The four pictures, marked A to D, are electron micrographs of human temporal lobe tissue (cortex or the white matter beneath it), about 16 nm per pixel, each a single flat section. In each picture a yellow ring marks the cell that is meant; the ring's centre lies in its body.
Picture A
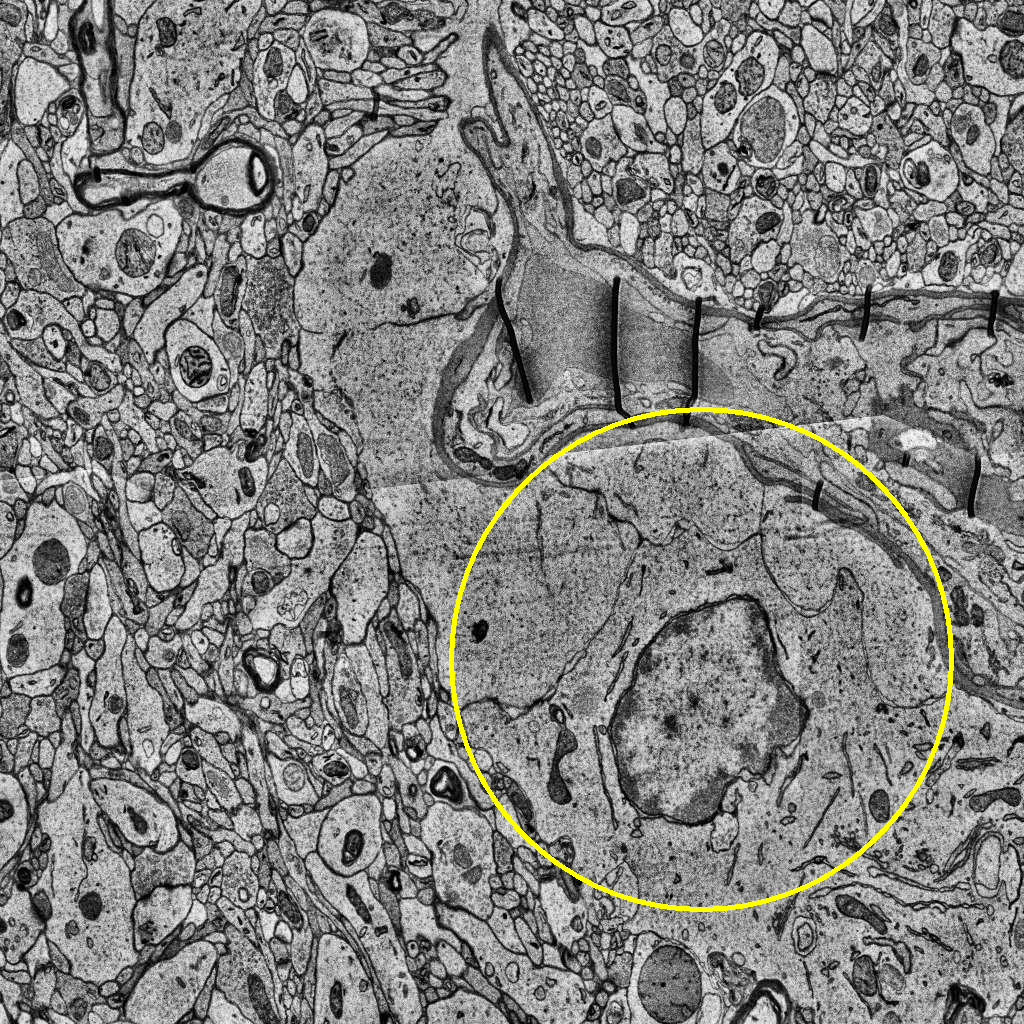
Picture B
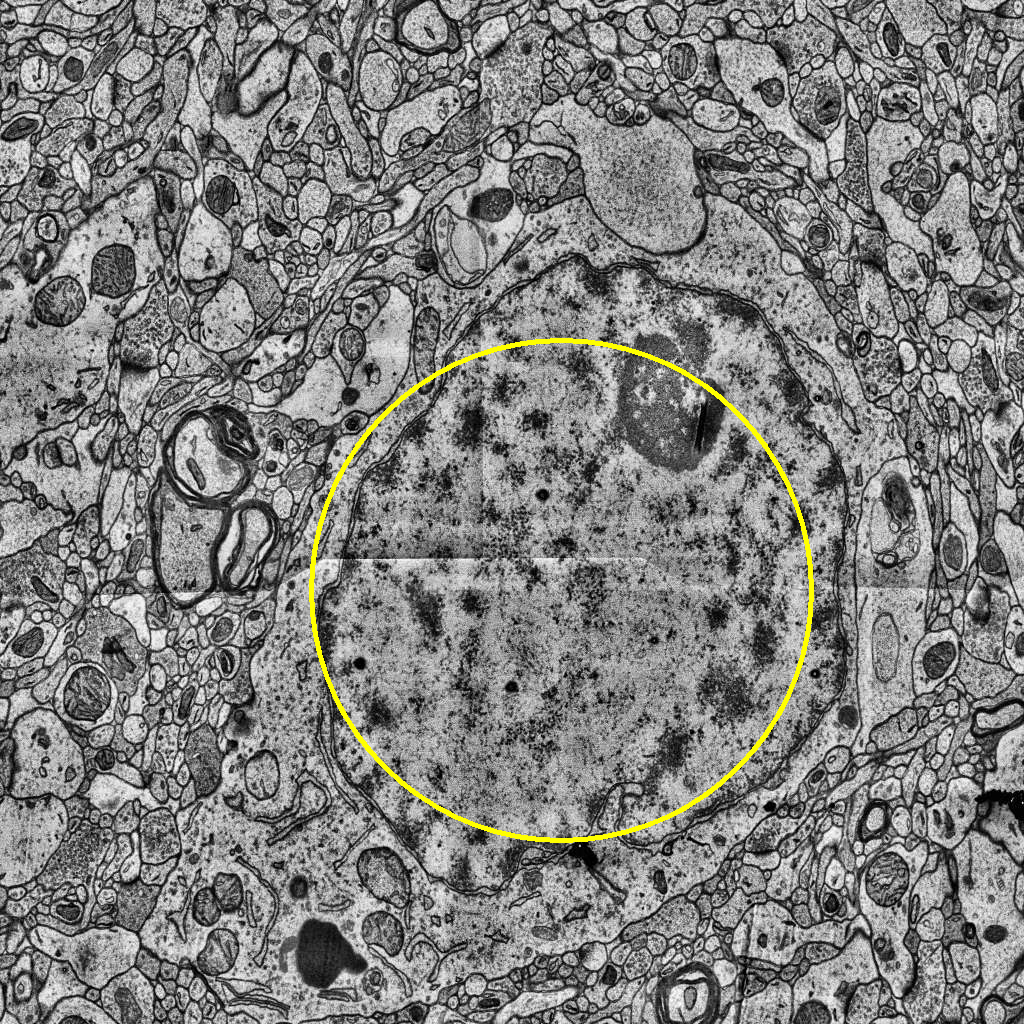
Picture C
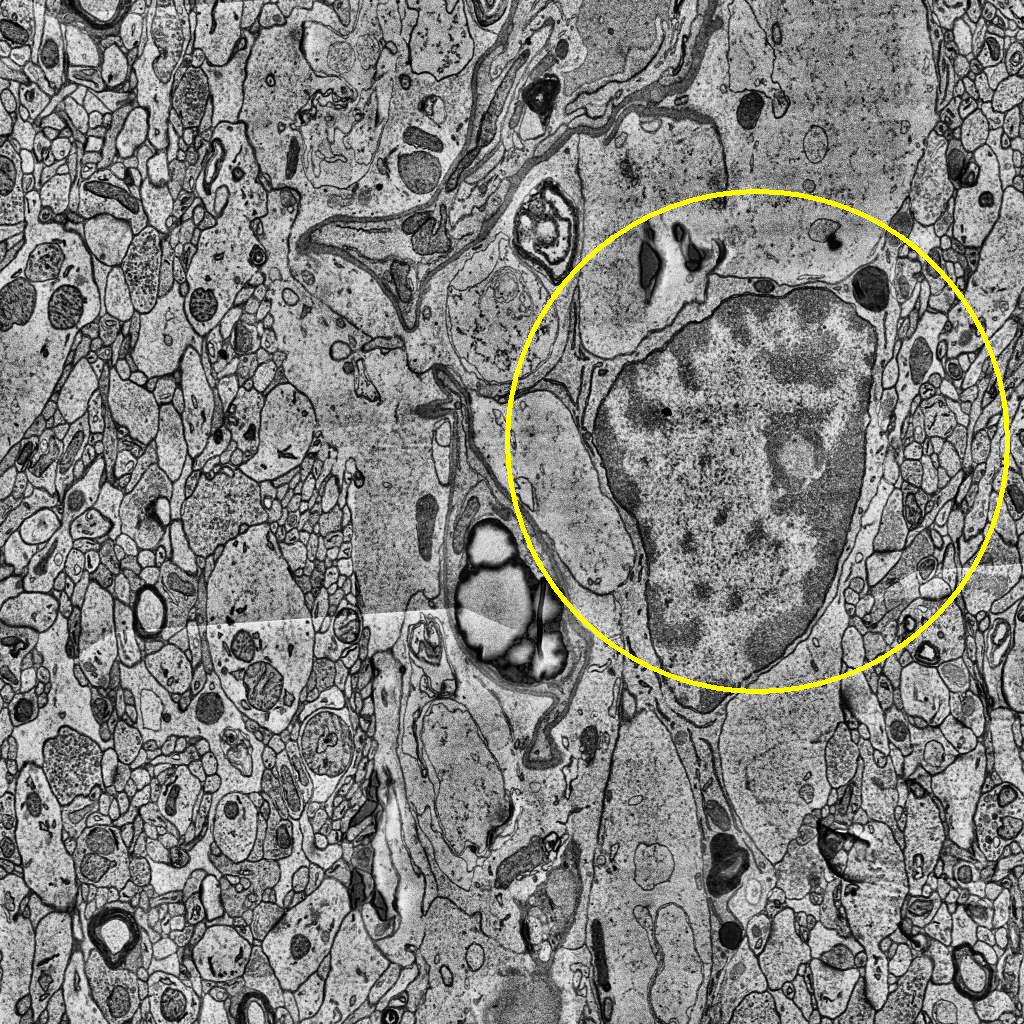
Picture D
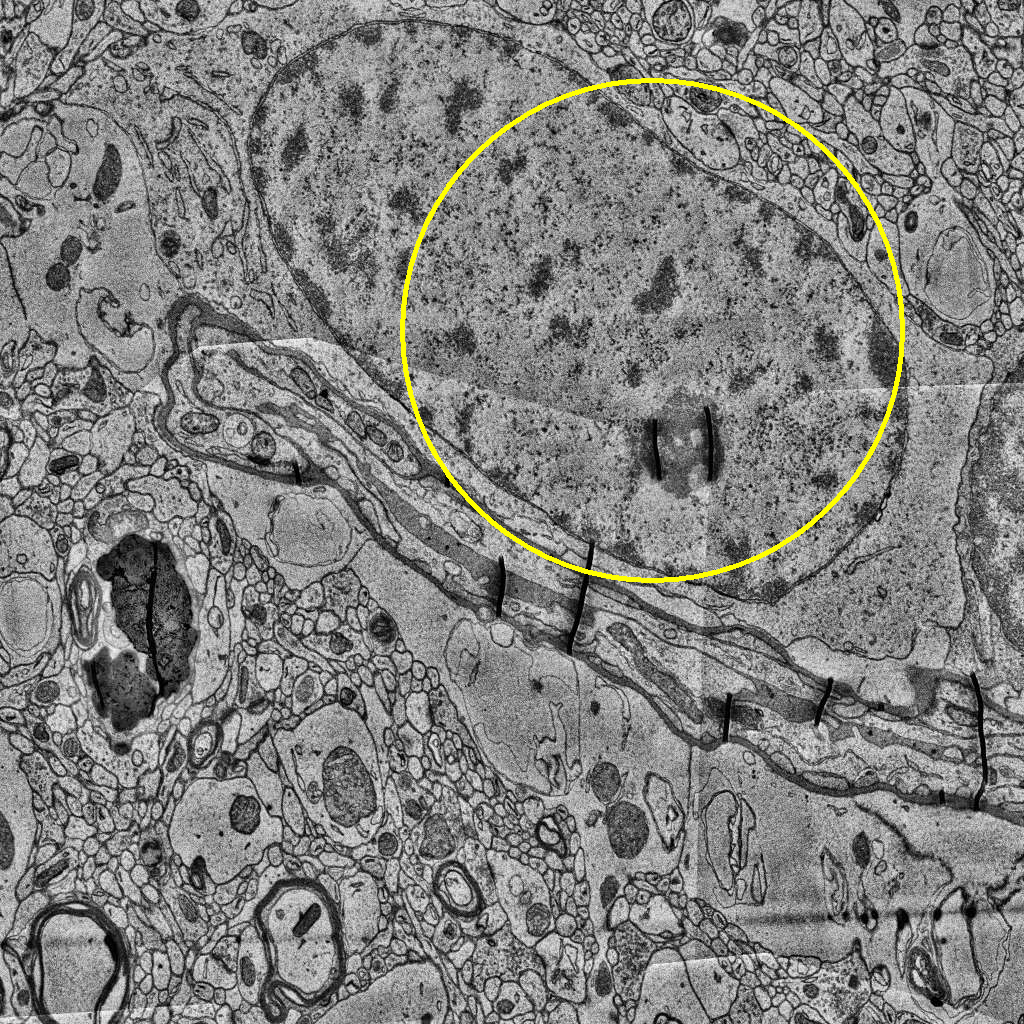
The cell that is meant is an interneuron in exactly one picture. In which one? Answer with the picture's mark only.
B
